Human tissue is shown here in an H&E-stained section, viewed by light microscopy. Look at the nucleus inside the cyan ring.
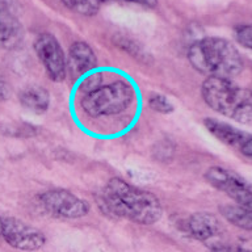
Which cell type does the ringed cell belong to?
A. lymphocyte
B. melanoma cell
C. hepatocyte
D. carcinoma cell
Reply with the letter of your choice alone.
B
